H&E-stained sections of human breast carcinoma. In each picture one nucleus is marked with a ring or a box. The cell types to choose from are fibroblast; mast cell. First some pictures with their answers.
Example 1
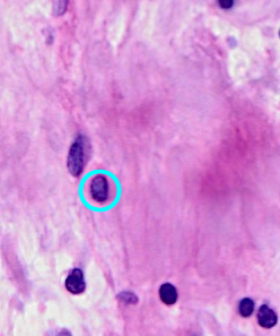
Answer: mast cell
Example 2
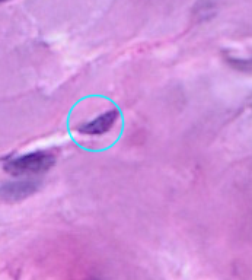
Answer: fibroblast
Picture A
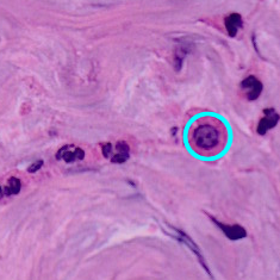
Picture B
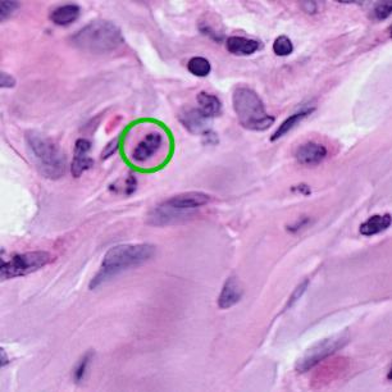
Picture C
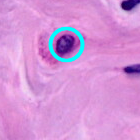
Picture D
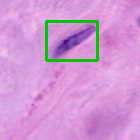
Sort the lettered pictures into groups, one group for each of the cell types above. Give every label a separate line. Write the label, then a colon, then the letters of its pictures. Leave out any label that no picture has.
fibroblast: D
mast cell: A, B, C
